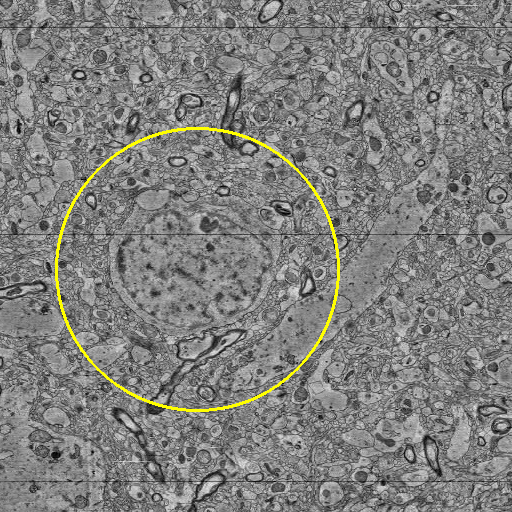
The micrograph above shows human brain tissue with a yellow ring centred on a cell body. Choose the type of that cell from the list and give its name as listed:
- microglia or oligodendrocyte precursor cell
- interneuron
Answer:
interneuron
